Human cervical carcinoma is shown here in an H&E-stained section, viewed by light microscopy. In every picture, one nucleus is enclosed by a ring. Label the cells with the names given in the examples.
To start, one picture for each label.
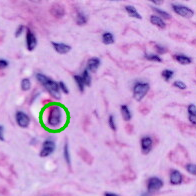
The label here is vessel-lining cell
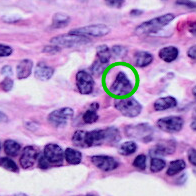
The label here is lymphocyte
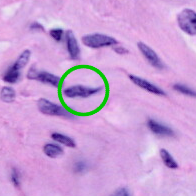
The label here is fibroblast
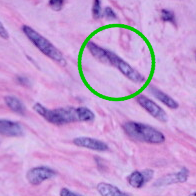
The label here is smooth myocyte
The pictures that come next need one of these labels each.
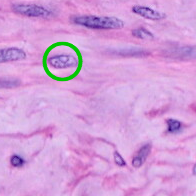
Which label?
smooth myocyte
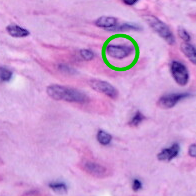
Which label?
smooth myocyte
